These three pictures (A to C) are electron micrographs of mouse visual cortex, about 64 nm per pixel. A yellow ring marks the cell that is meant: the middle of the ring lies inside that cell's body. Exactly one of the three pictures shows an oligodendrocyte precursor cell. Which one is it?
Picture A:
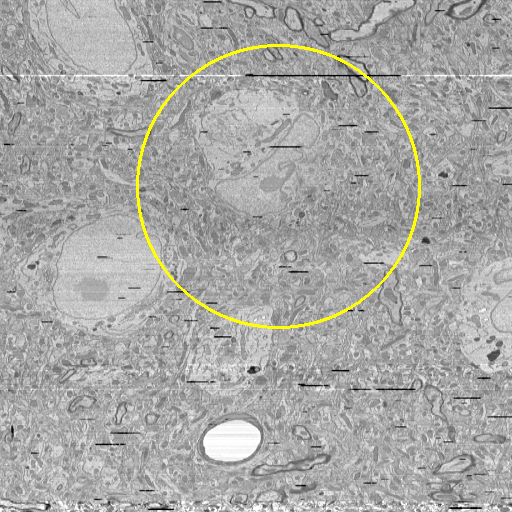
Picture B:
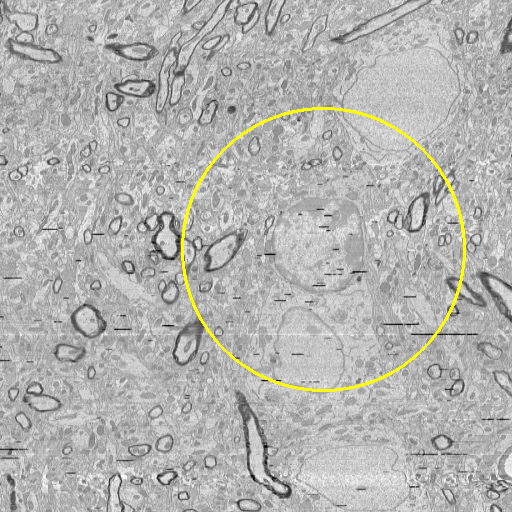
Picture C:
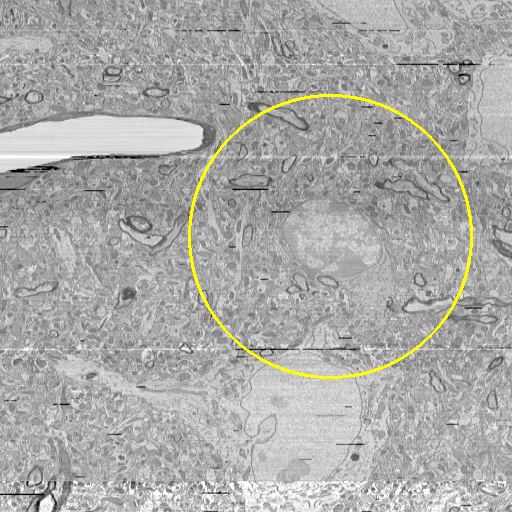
The cell in picture A is the oligodendrocyte precursor cell.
